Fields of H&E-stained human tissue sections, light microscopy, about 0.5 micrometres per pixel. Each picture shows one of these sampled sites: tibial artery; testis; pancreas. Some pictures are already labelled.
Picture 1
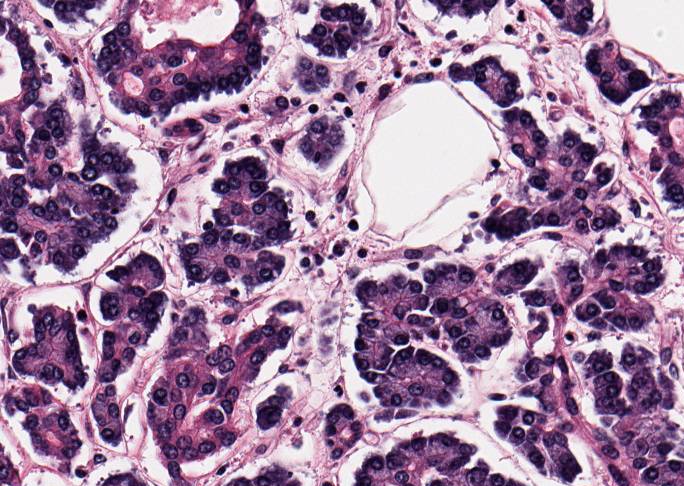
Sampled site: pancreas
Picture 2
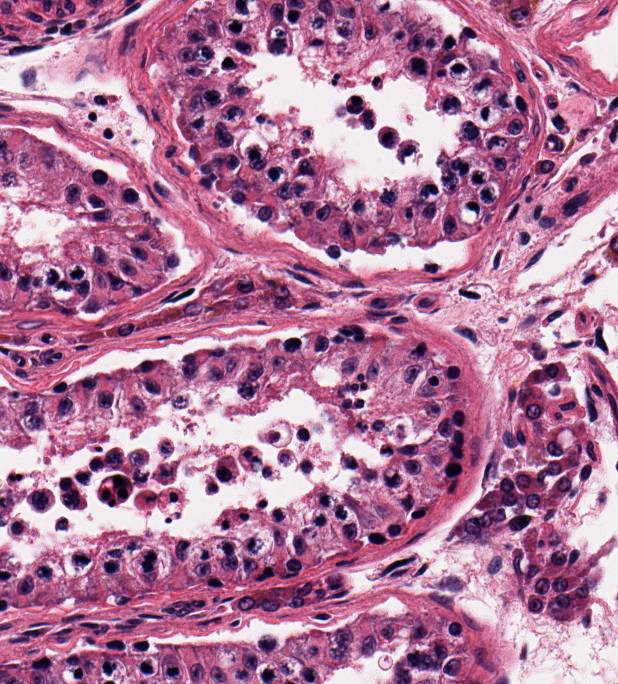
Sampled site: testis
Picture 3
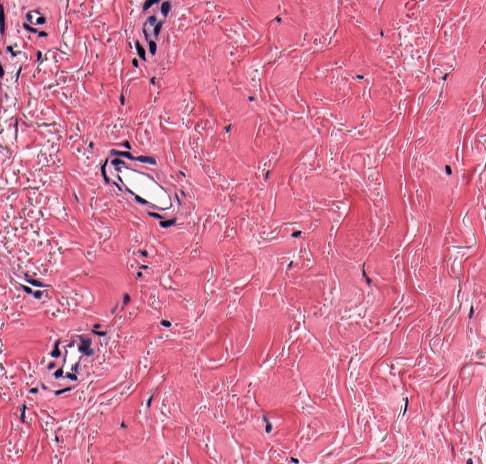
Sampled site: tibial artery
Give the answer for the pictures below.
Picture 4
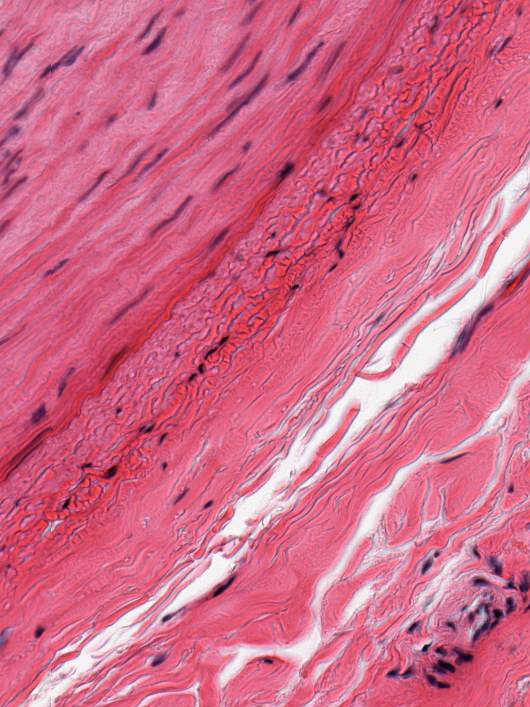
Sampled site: tibial artery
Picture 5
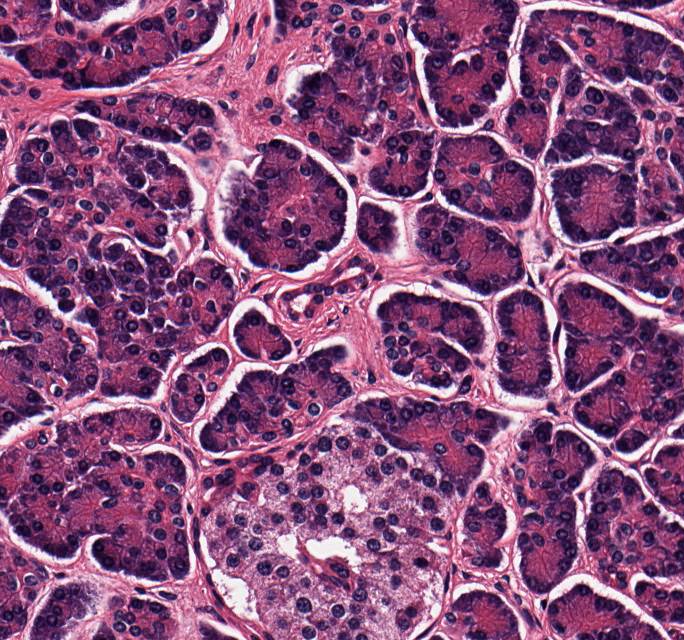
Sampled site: pancreas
